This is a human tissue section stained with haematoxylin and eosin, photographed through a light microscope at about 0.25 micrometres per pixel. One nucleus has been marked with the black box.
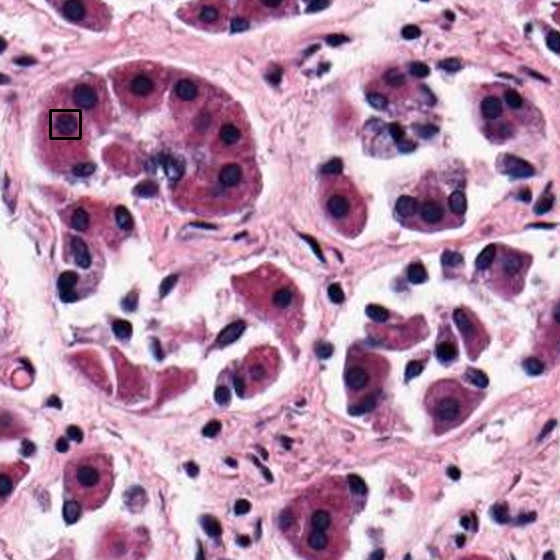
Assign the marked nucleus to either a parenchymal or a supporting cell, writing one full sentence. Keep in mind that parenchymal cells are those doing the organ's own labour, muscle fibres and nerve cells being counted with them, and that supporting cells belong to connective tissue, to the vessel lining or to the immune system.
The marked nucleus belongs to one of the parenchymal cells, namely a parietal cell.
